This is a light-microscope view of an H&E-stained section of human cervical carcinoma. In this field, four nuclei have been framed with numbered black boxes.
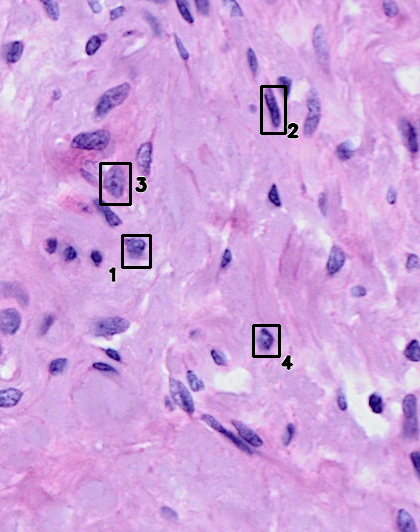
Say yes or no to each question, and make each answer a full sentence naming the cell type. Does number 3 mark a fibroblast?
No, a fibroblast is not what cell 3 is; it is an endothelial cell.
